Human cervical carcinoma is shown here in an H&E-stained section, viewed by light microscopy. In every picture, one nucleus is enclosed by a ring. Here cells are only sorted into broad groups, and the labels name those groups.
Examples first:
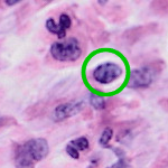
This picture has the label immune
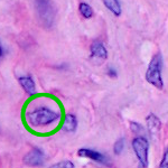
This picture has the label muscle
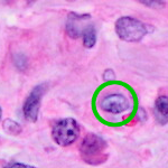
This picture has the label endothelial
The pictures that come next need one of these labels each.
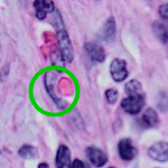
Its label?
endothelial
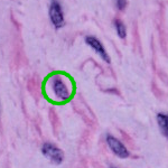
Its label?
muscle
